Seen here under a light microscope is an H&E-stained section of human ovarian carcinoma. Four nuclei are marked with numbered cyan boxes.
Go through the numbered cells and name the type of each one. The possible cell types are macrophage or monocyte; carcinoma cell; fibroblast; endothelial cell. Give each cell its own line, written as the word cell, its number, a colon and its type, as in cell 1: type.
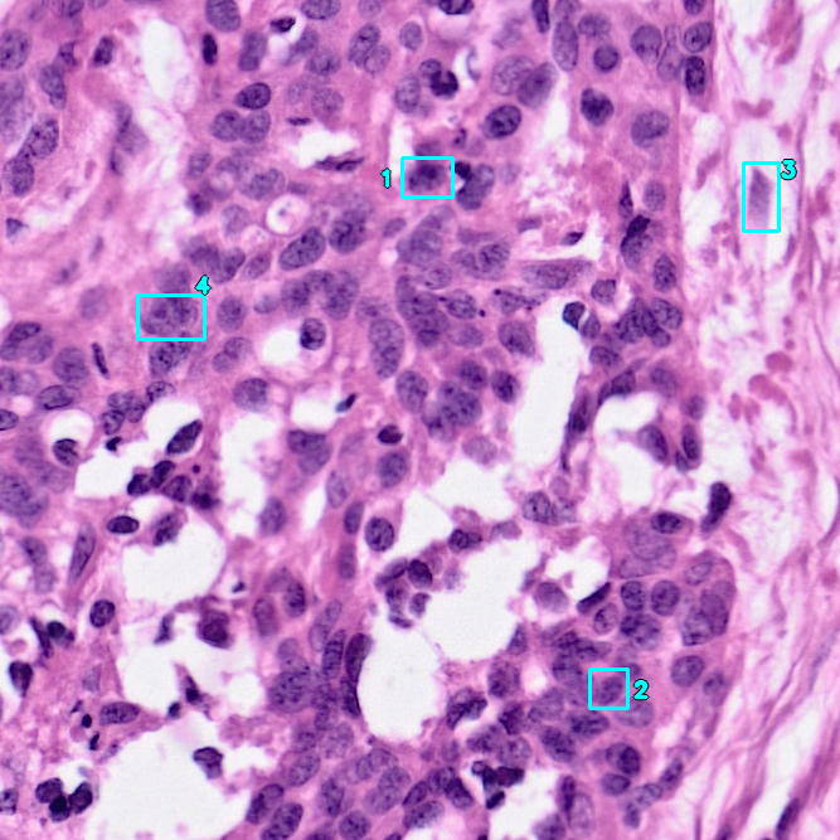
cell 1: carcinoma cell
cell 2: carcinoma cell
cell 3: fibroblast
cell 4: carcinoma cell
